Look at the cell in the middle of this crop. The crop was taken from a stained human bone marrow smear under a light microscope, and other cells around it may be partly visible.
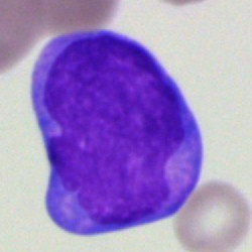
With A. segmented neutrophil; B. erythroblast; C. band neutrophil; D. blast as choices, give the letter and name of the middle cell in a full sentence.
Option D stands as correct, the central cell being a blast.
